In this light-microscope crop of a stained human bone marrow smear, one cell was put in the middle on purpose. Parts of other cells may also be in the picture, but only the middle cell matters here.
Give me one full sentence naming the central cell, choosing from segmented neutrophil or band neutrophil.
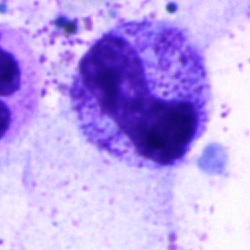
In this smear crop, the middle cell is a band neutrophil.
